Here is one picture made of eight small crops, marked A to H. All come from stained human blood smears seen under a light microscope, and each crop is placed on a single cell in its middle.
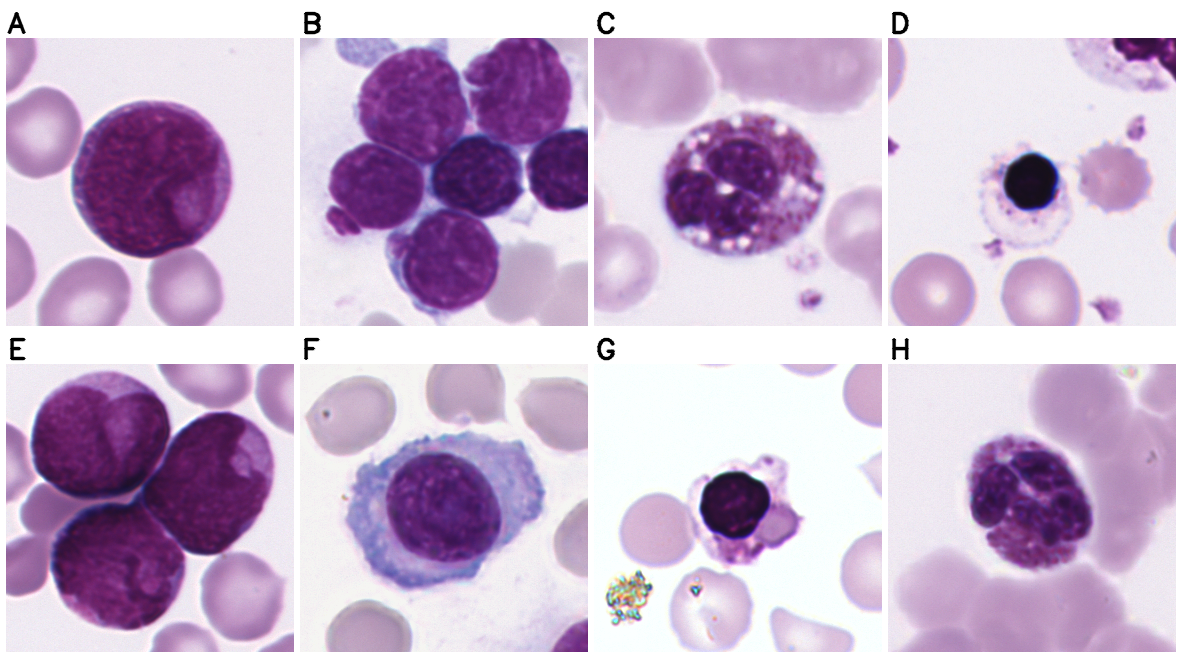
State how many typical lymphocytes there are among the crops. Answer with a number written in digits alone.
0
